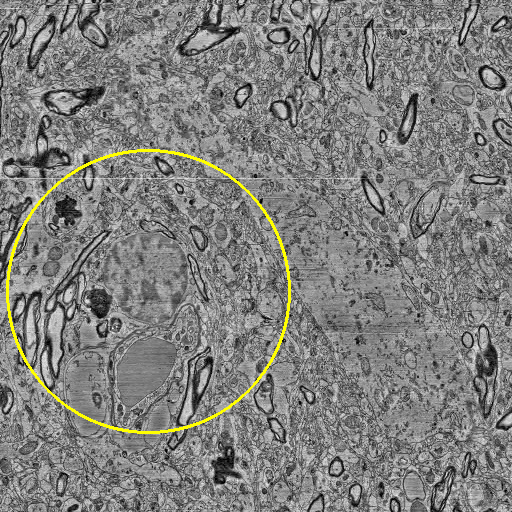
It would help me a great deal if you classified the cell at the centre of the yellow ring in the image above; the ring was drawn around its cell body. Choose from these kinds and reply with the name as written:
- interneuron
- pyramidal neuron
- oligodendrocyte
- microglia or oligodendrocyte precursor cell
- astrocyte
oligodendrocyte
